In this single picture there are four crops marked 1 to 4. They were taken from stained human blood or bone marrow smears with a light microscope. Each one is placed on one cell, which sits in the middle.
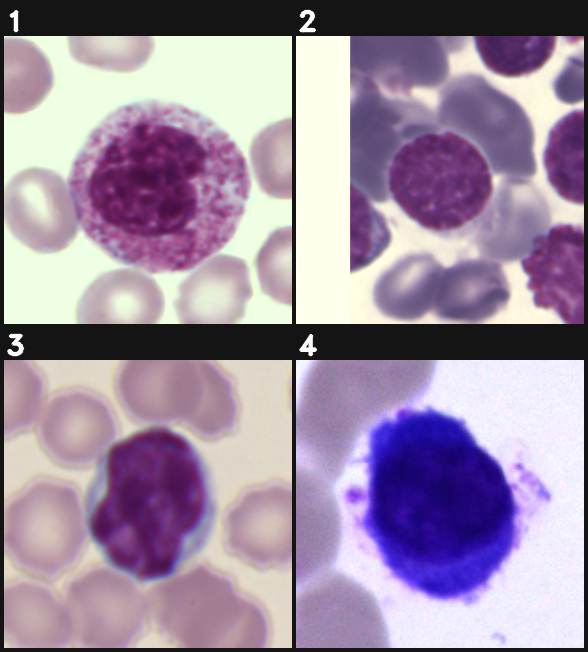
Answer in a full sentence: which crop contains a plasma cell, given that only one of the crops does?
The crop that shows a plasma cell is crop 4.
